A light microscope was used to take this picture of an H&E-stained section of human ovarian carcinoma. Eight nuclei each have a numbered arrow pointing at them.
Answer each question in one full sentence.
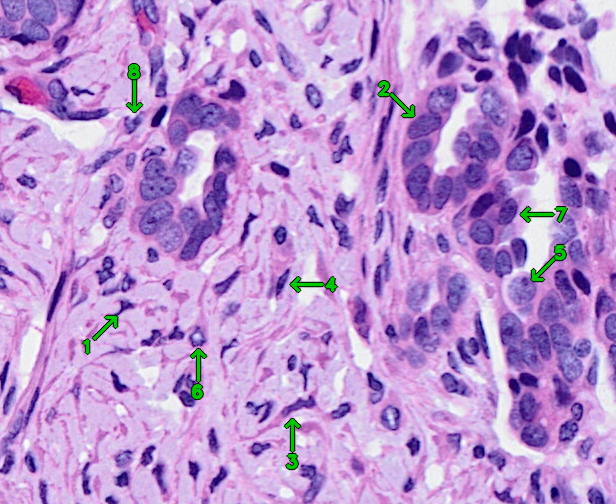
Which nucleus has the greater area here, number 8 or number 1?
Nucleus 8 covers more area, about 2 times as much as nucleus 1.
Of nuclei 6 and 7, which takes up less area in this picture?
With nucleus 7 about 1.5 times its size, nucleus 6 is the smaller of the two.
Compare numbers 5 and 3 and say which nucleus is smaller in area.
It is nucleus 3; nucleus 5 has about 3 times its area.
